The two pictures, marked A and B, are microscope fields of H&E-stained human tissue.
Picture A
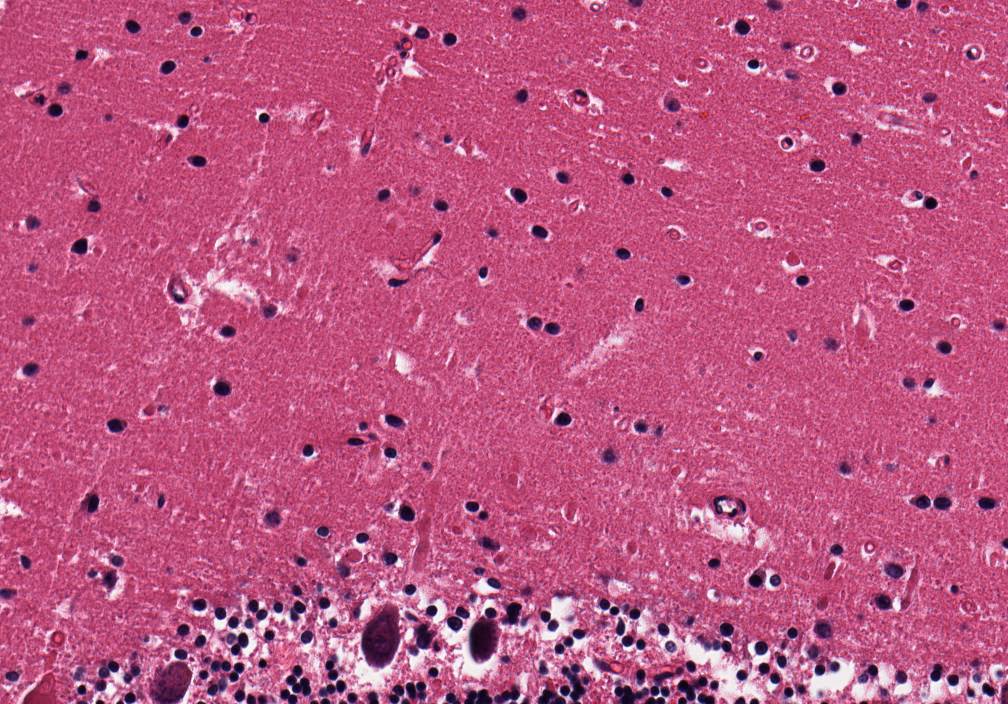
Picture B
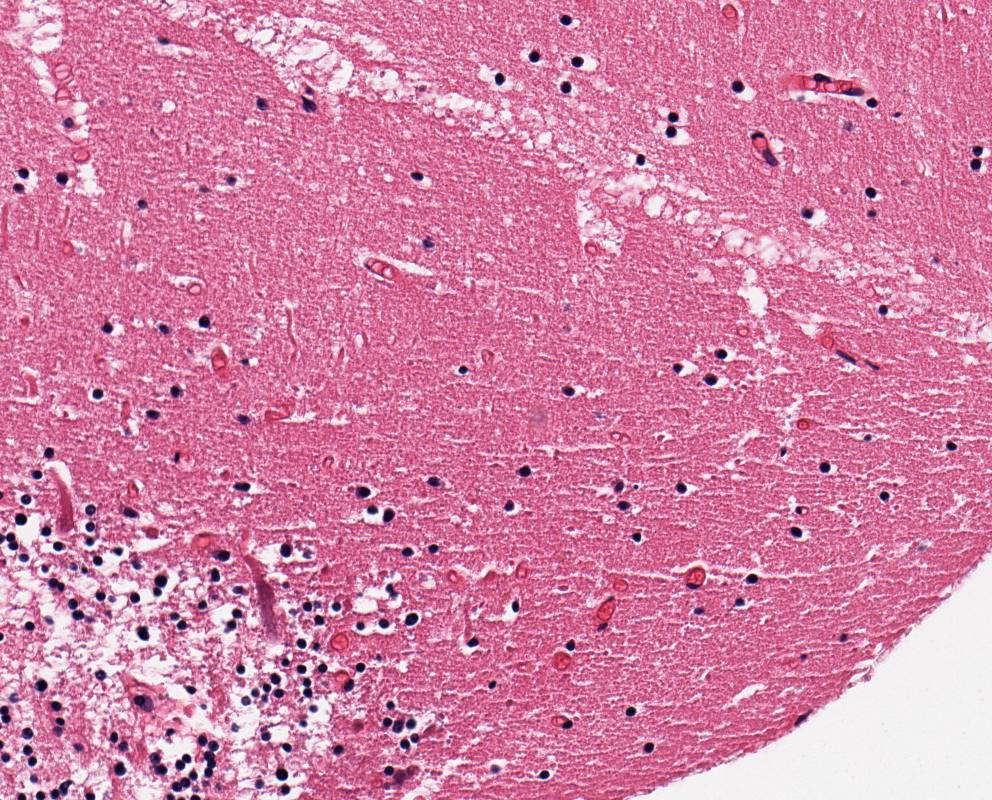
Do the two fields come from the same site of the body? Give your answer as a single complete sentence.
Yes, they come from the same site of the body: both come from the cerebellum.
